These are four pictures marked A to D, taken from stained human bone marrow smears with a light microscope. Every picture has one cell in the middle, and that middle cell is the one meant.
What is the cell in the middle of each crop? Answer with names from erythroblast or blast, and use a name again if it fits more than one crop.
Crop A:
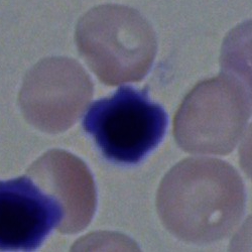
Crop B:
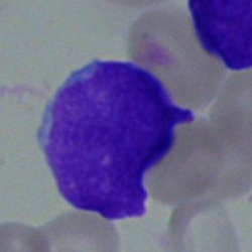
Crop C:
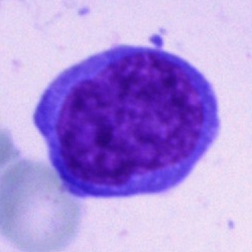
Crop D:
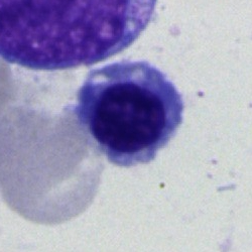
A: erythroblast
B: blast
C: blast
D: erythroblast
